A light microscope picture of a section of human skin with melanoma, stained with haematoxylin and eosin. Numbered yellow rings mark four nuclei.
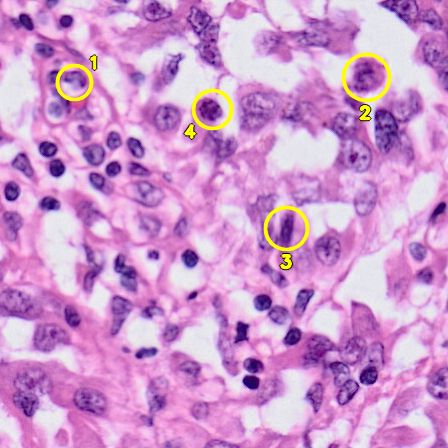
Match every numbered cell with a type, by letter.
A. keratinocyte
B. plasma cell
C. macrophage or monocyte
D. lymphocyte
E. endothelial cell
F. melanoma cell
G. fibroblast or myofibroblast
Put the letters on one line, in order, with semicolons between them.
E; F; F; F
